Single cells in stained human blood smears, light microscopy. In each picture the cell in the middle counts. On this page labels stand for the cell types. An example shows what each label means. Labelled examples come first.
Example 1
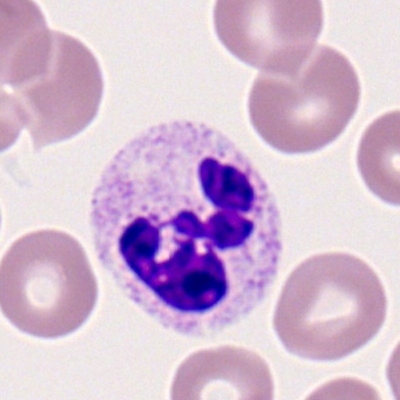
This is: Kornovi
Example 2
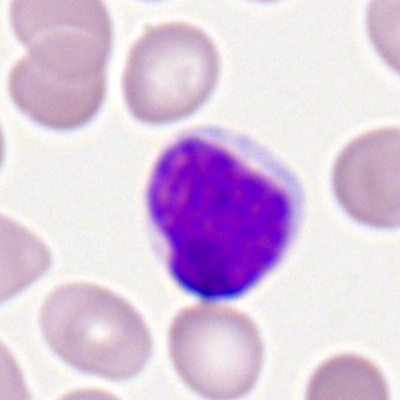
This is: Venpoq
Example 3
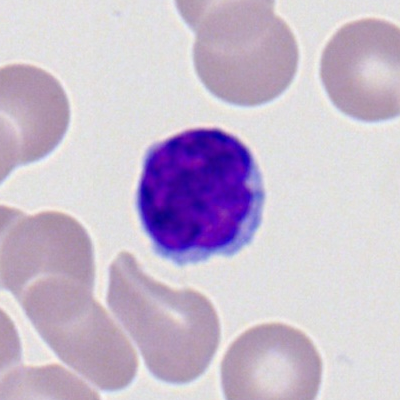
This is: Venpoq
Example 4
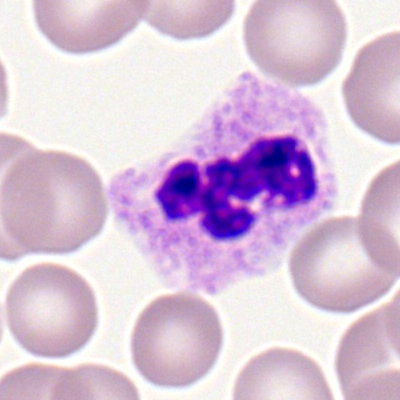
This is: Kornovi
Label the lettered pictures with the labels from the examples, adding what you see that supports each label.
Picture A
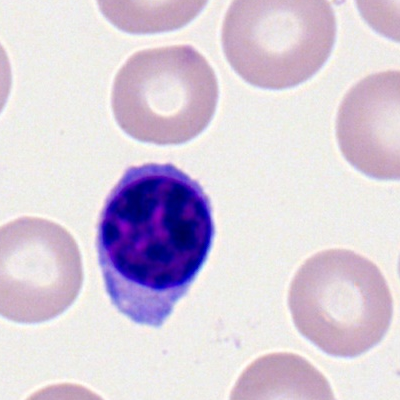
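Answer: Venpoq. The nucleus fills most of the cell.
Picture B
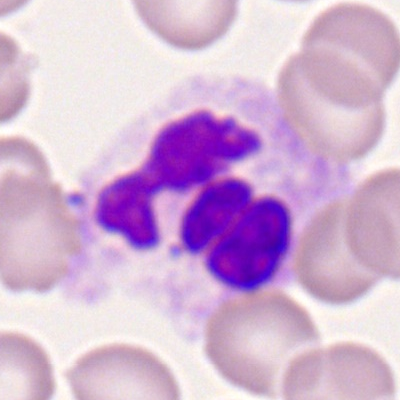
Answer: Kornovi. The cytoplasm is plentiful and very pale pinkish-lilac.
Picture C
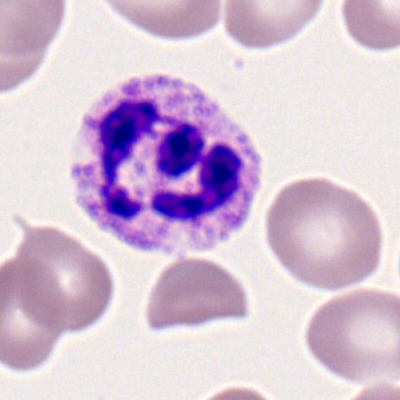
Answer: Kornovi. The nucleus is divided into several separate lobes.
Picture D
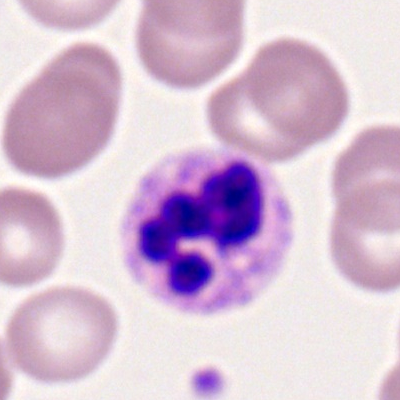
Answer: Kornovi. The cytoplasm is plentiful and pale pinkish-lilac.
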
